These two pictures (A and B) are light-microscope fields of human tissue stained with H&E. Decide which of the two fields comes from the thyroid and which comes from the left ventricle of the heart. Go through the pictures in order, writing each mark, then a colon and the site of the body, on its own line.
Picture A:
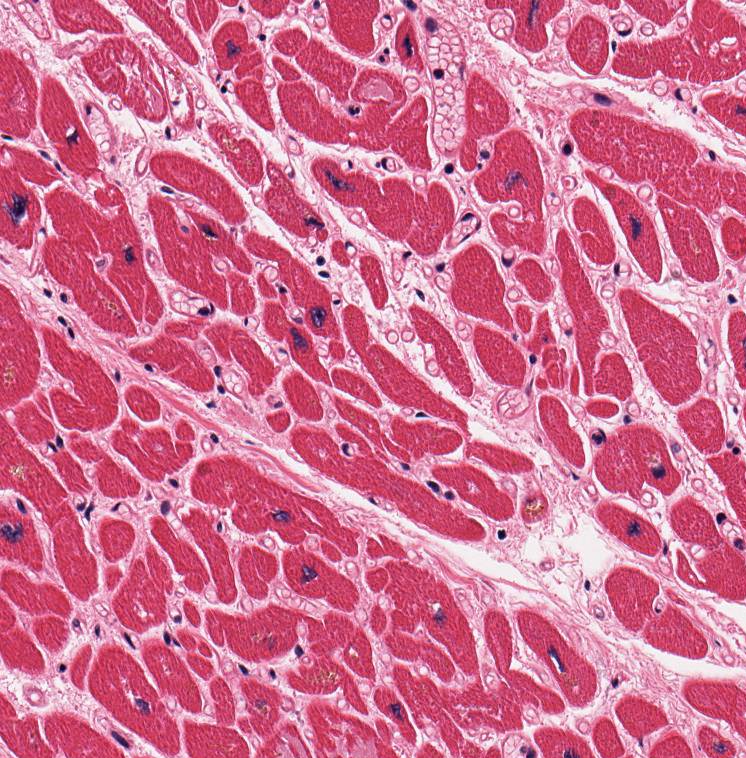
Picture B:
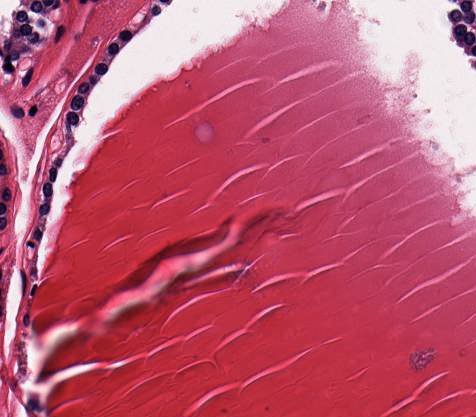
A: left ventricle of the heart
B: thyroid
